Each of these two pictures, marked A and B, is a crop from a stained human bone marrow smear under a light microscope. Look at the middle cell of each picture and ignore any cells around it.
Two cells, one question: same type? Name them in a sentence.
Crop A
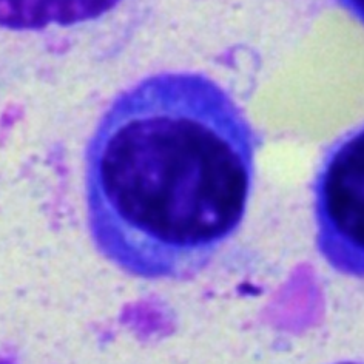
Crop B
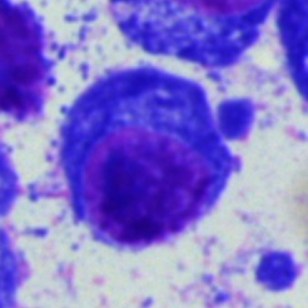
Yes, the centre of both crops is taken up by plasma cells.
